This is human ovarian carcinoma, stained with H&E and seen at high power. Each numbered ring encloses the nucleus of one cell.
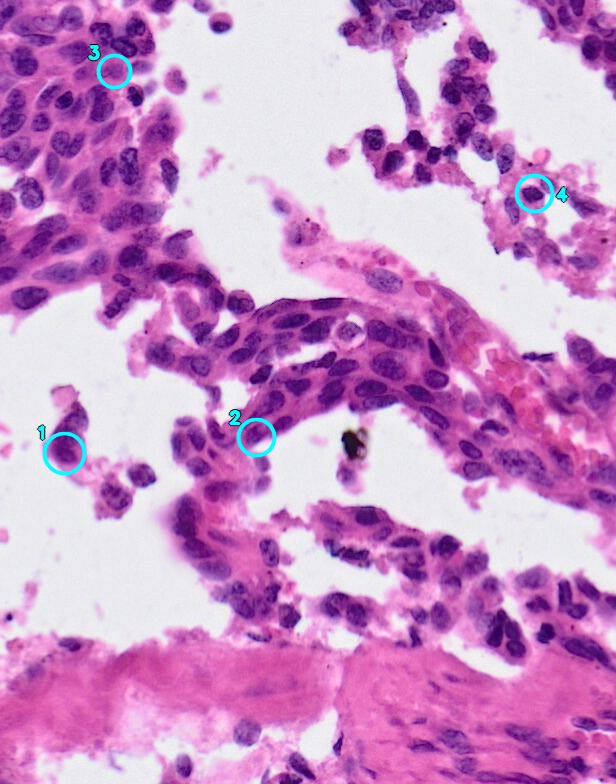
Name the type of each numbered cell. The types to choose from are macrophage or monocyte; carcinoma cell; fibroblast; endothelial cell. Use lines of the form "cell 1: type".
cell 1: carcinoma cell
cell 2: carcinoma cell
cell 3: carcinoma cell
cell 4: macrophage or monocyte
